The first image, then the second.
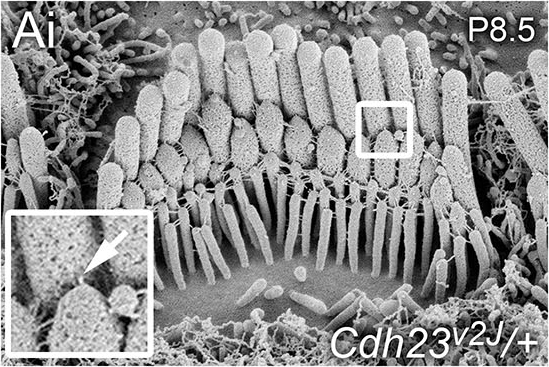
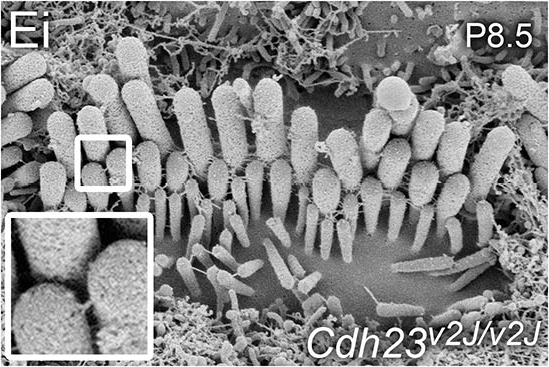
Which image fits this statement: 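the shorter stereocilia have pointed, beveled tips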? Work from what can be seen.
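The first image. Second image: the inset shows stereocilia with rounded, dome-like tops. First image: the inset shows a shorter stereocilium tapering to a point toward its taller neighbour.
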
